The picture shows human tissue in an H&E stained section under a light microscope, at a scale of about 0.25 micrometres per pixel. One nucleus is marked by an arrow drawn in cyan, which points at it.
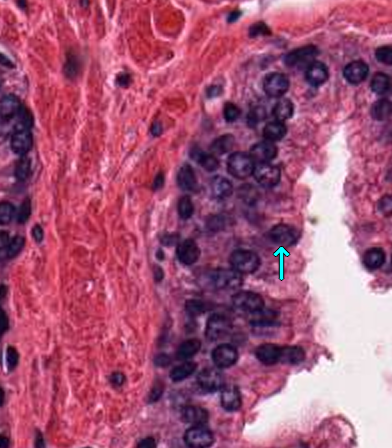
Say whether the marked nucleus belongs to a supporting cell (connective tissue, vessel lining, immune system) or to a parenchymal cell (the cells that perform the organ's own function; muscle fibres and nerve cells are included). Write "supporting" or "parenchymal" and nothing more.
parenchymal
